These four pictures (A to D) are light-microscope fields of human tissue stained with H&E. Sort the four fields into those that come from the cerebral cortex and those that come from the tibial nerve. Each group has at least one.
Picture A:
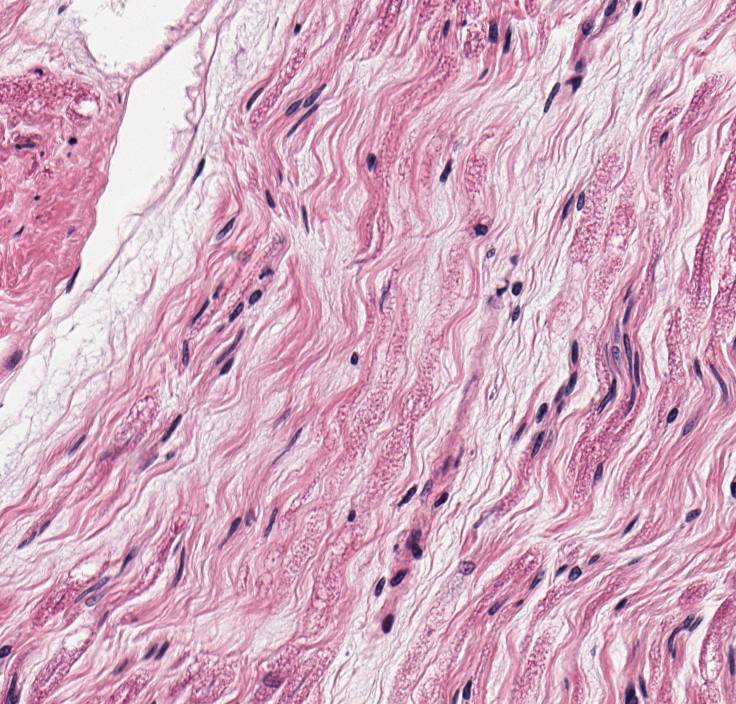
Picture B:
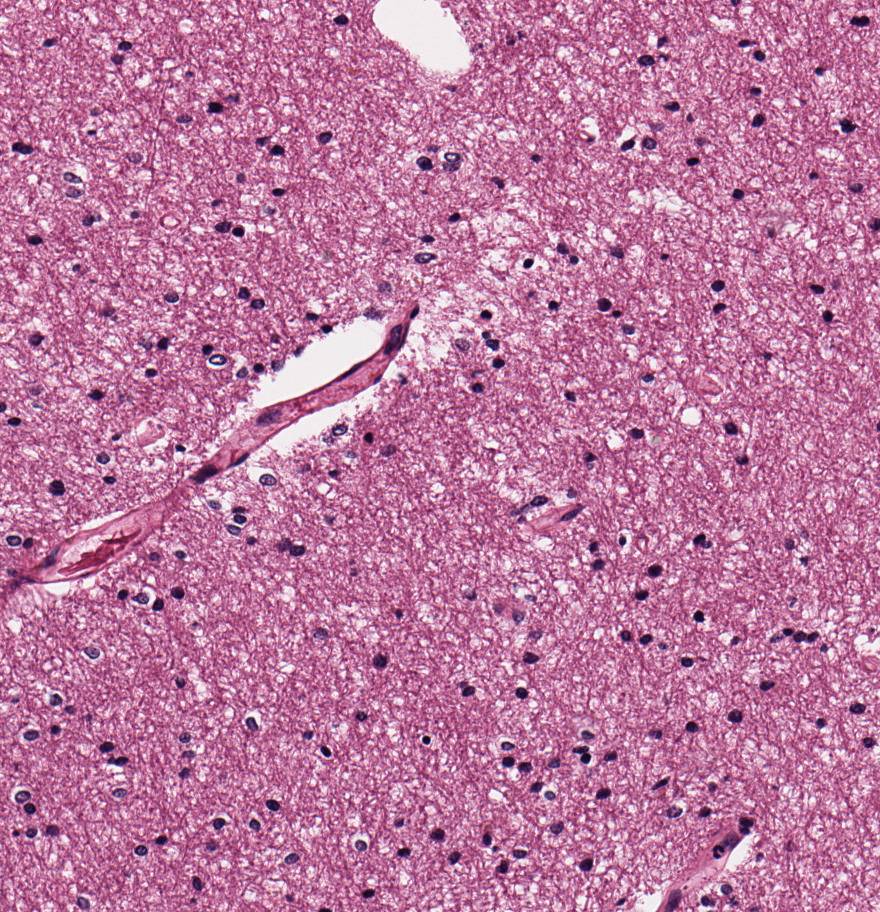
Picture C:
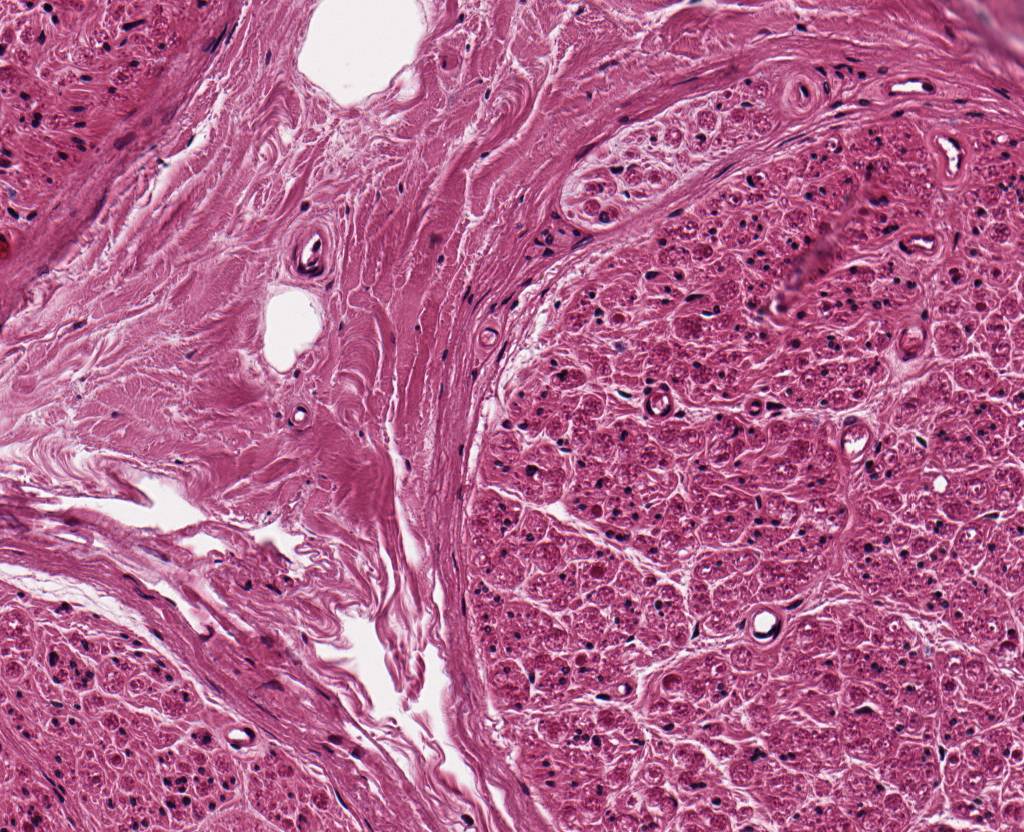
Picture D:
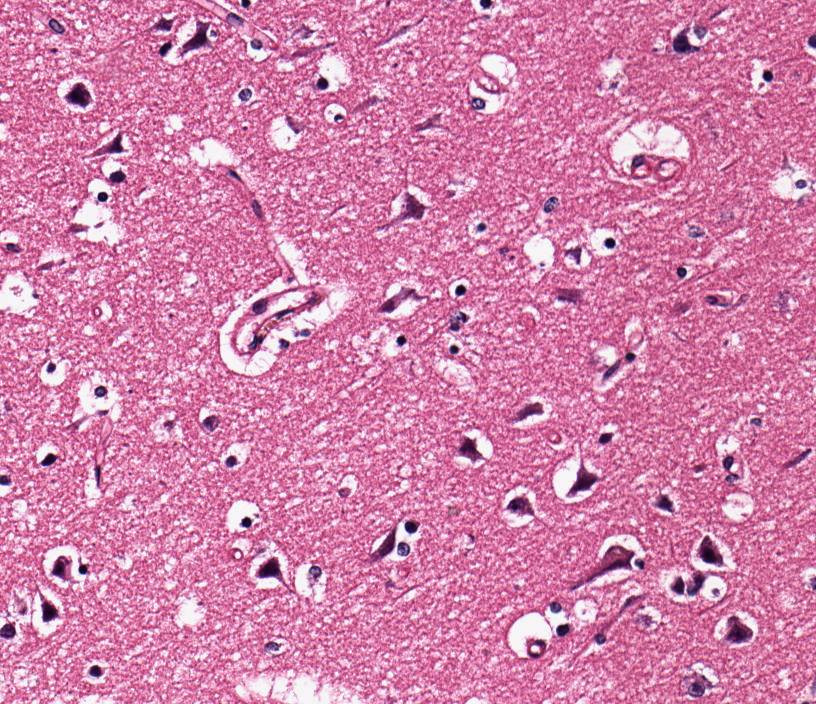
A: tibial nerve
B: cerebral cortex
C: tibial nerve
D: cerebral cortex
